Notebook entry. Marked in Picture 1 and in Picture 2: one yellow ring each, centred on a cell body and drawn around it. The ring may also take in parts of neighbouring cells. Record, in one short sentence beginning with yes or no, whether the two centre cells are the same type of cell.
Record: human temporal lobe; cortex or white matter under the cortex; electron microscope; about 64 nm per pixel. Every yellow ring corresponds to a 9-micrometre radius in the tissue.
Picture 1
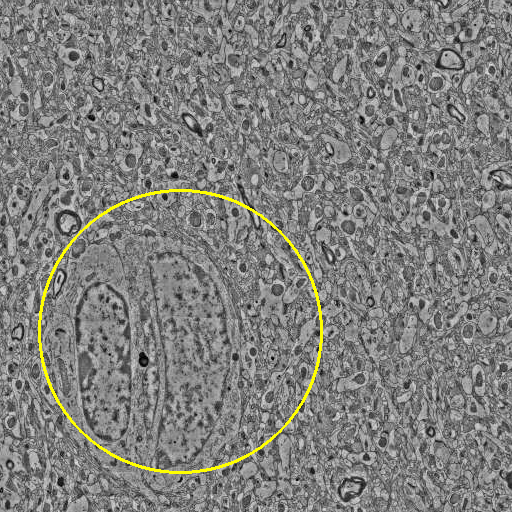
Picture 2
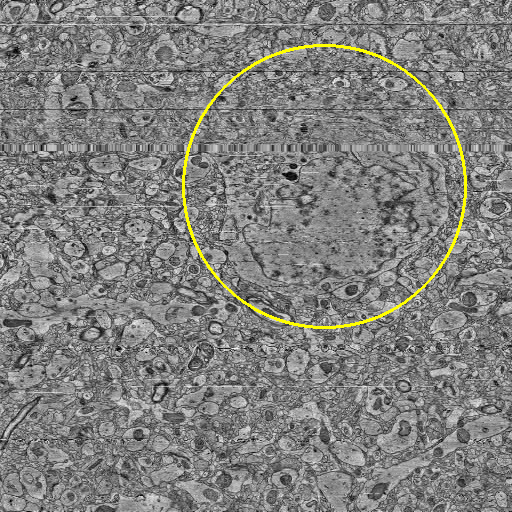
Yes, both are the same type of cell.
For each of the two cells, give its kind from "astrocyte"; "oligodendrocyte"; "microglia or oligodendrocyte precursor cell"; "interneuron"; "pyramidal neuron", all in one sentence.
Both the first and the second picture show an interneuron in the ring.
